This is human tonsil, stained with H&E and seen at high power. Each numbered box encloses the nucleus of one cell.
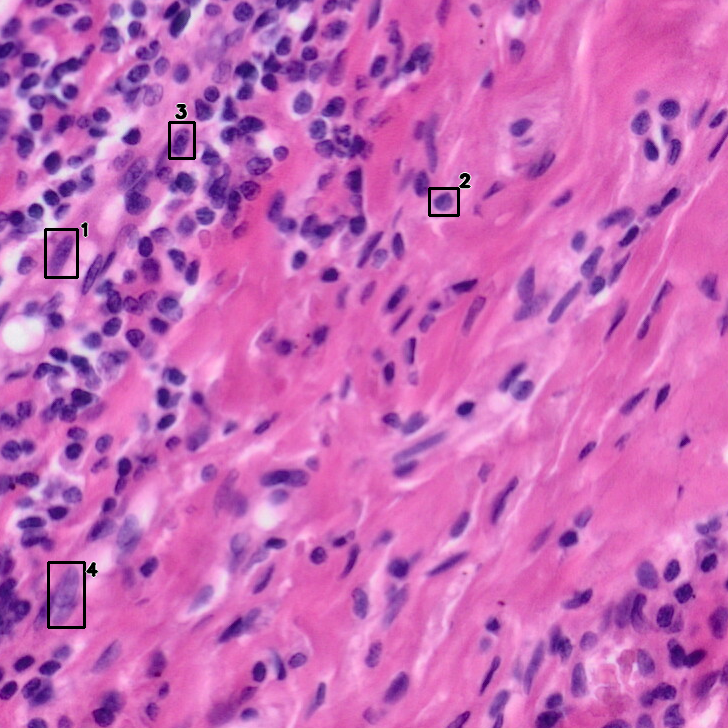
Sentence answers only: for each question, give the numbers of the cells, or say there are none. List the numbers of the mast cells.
Cell 2 alone, of all the numbered cells, is a mast cell.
